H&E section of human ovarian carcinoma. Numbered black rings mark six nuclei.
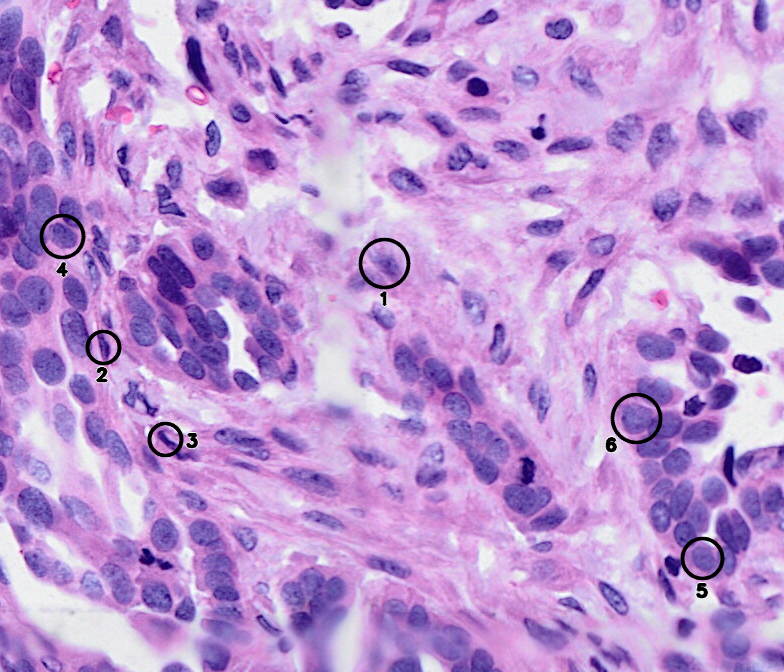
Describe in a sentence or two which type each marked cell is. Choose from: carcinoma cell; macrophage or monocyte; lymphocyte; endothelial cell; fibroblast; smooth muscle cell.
Cell 1 is a fibroblast, cell 2 is a fibroblast, cell 3 is a fibroblast, cell 4 is a carcinoma cell, cell 5 is a carcinoma cell and cell 6 is a carcinoma cell.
